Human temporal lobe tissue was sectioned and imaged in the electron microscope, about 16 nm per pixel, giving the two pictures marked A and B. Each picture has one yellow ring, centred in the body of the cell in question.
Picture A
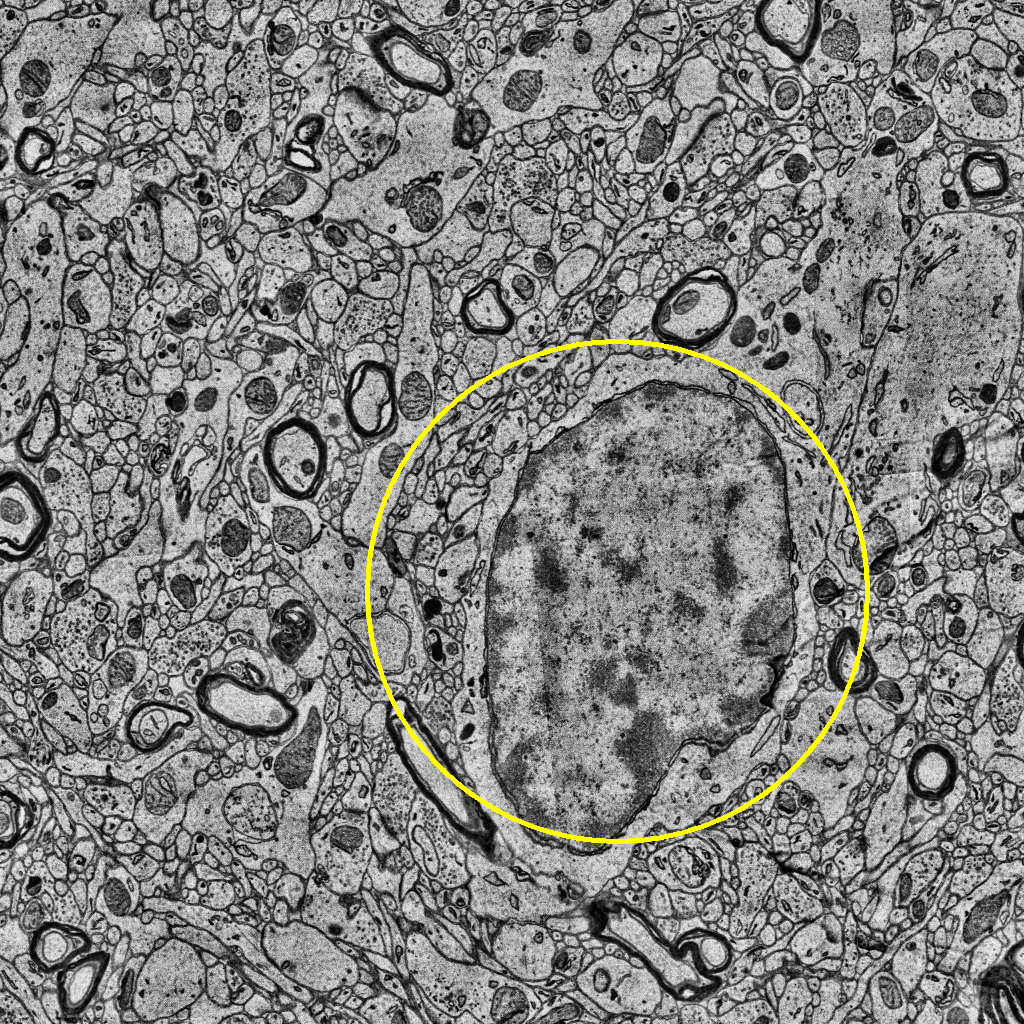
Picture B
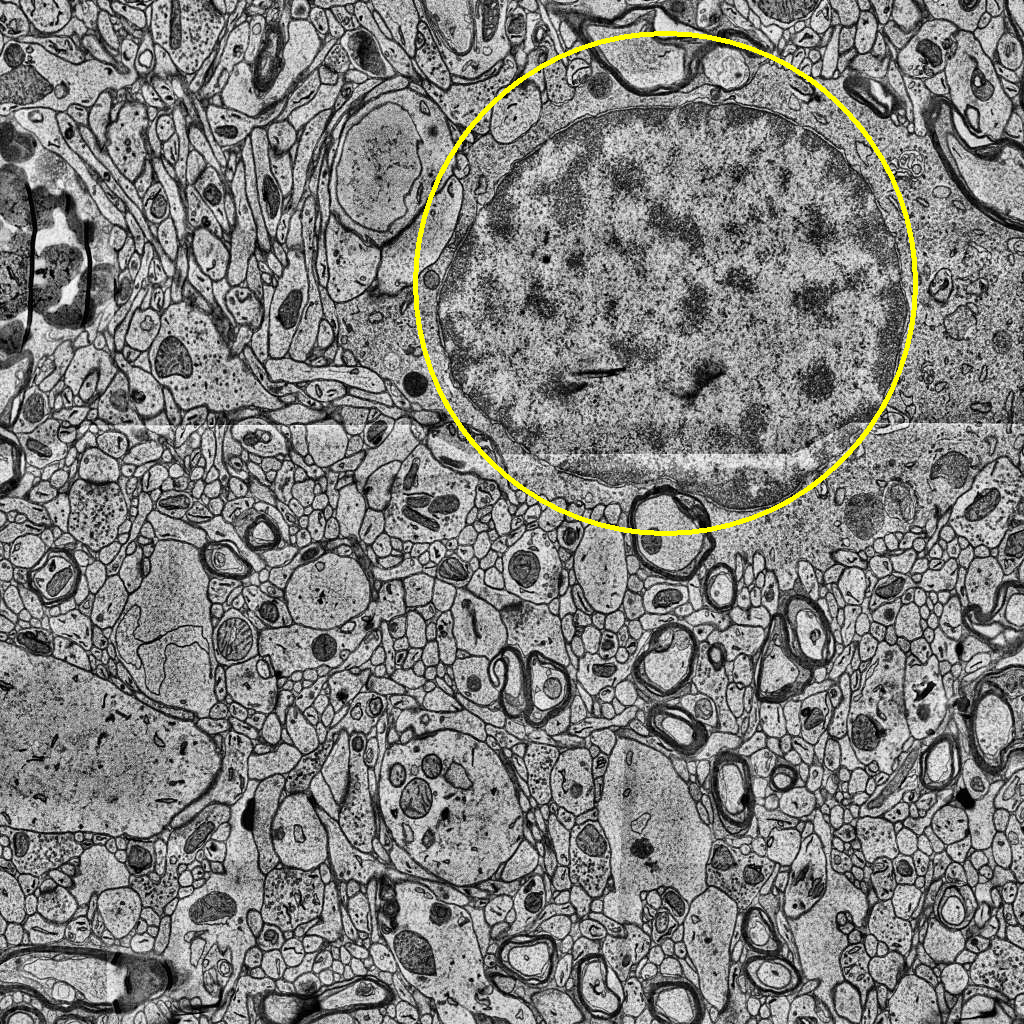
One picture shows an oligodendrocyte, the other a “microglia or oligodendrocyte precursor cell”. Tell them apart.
It is picture A that shows a “microglia or oligodendrocyte precursor cell”, and picture B that shows an oligodendrocyte.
